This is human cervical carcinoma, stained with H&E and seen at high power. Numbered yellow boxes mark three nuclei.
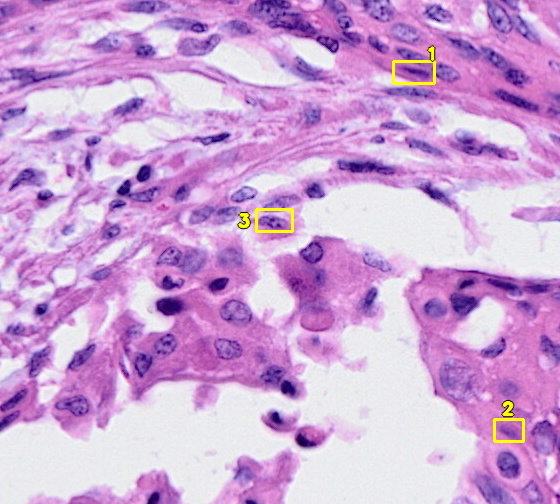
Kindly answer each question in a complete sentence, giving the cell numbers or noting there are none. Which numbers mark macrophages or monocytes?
Only the cell carrying number 3 is a macrophage or monocyte.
